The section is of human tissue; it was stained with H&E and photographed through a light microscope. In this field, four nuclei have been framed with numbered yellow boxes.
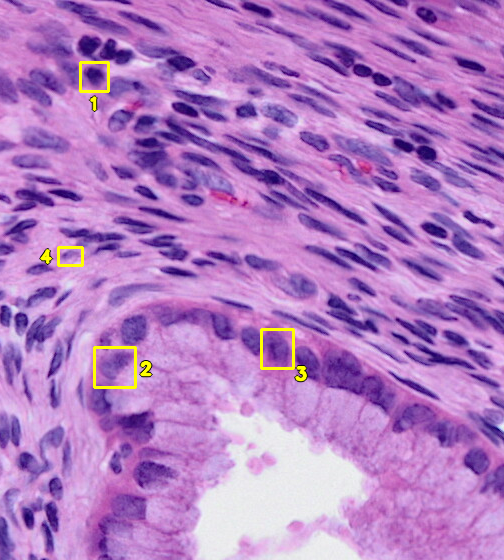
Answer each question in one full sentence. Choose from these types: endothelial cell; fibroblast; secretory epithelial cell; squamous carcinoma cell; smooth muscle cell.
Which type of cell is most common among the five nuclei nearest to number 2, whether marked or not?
Secretory epithelial cells account for more than half of the five nuclei nearest to number 2.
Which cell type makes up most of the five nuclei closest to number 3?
Of the five nuclei nearest to number 3, most belong to secretory epithelial cells.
